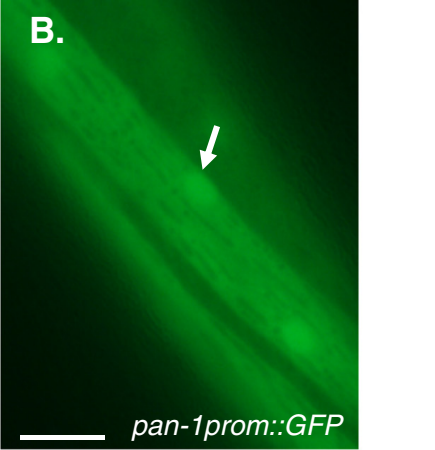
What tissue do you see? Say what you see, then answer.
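Body wall muscle. Long bands of cells run diagonally along the length of the worm body. The bands show fine parallel striations.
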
